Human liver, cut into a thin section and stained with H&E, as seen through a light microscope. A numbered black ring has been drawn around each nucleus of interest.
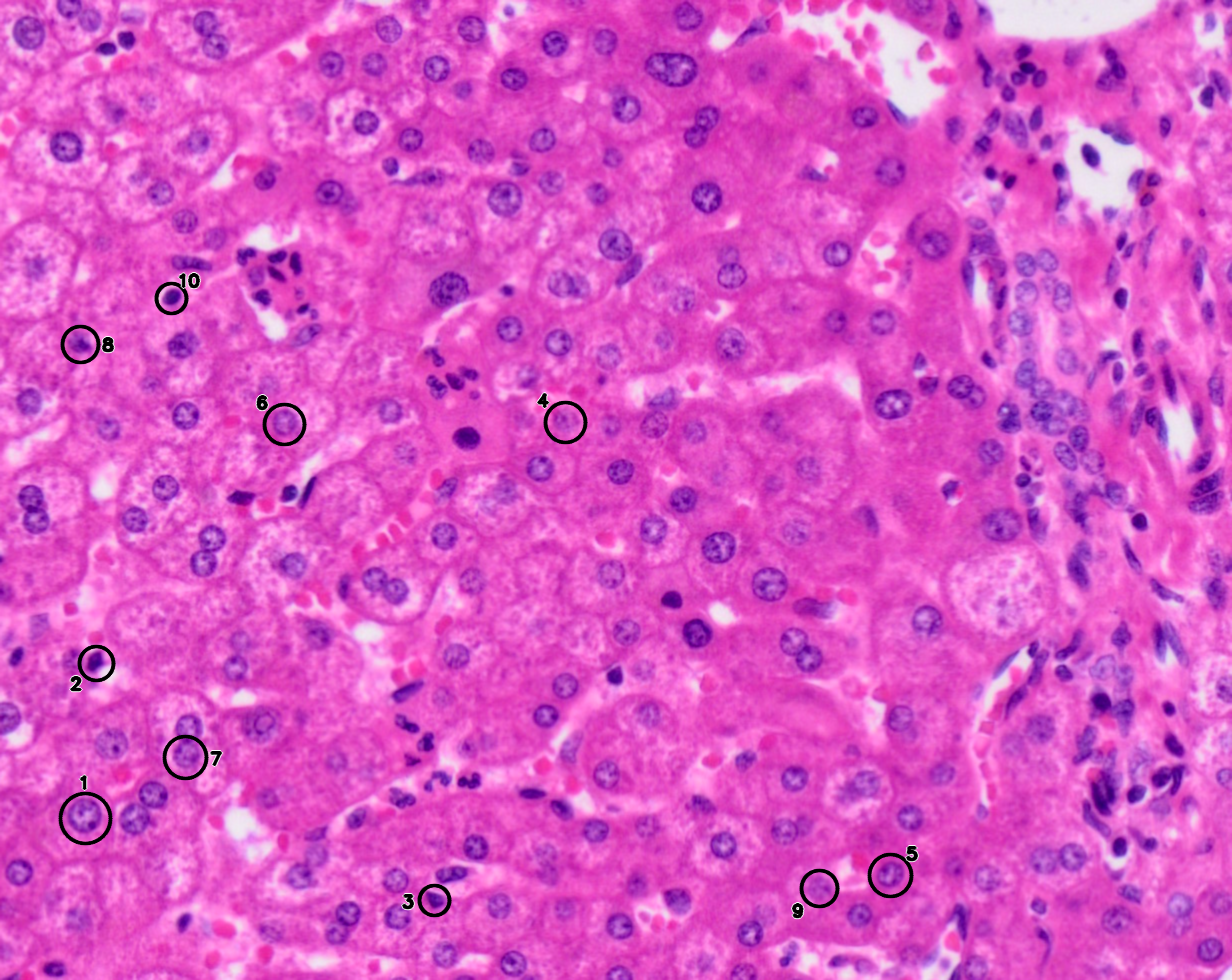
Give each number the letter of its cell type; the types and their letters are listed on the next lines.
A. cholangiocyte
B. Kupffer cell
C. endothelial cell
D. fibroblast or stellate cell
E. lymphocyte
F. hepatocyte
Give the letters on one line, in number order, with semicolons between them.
F; E; D; F; F; F; F; C; F; E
